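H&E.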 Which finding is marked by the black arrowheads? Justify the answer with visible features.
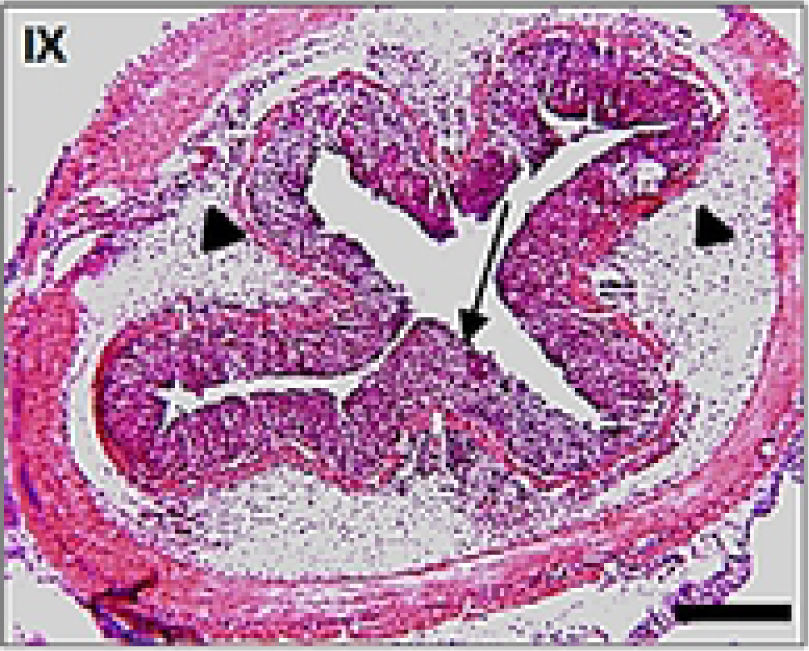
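Submucosal oedema. A wide pale, loosely textured layer separates the mucosa from the outer muscle wall. The pale layer contains sparse scattered cells and open spaces.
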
